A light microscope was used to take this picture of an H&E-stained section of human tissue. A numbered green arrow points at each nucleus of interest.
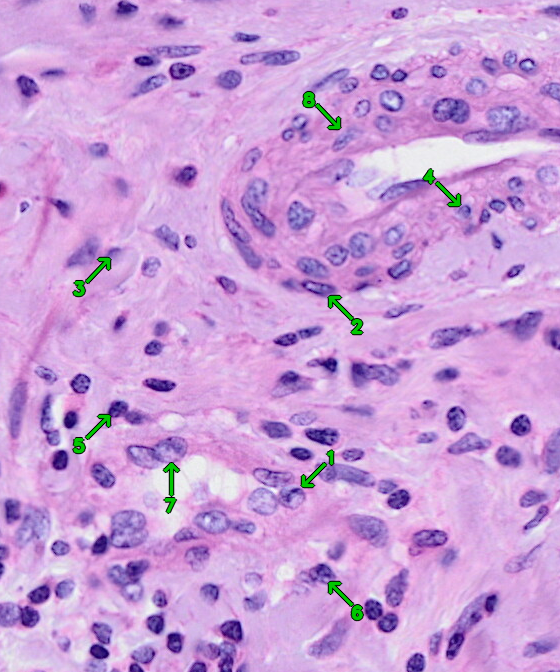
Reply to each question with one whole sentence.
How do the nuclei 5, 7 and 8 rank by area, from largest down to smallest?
By area, largest first, they run 7, 8, 5.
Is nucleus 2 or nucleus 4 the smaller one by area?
Number 4 is smaller, since number 2 takes up about 1.5 times as much area.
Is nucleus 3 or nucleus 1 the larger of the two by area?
Nucleus 1 covers more area, about 2.5 times as much as nucleus 3.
